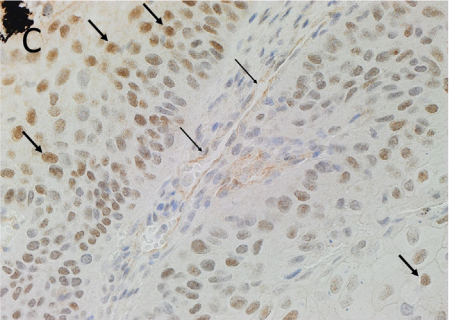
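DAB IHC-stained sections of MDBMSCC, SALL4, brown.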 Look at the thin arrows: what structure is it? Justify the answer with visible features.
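Thin arrows point at thin elongated cells lining a narrow channel in the stroma between epithelial nests. The answer: endothelium of the microvessels.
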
